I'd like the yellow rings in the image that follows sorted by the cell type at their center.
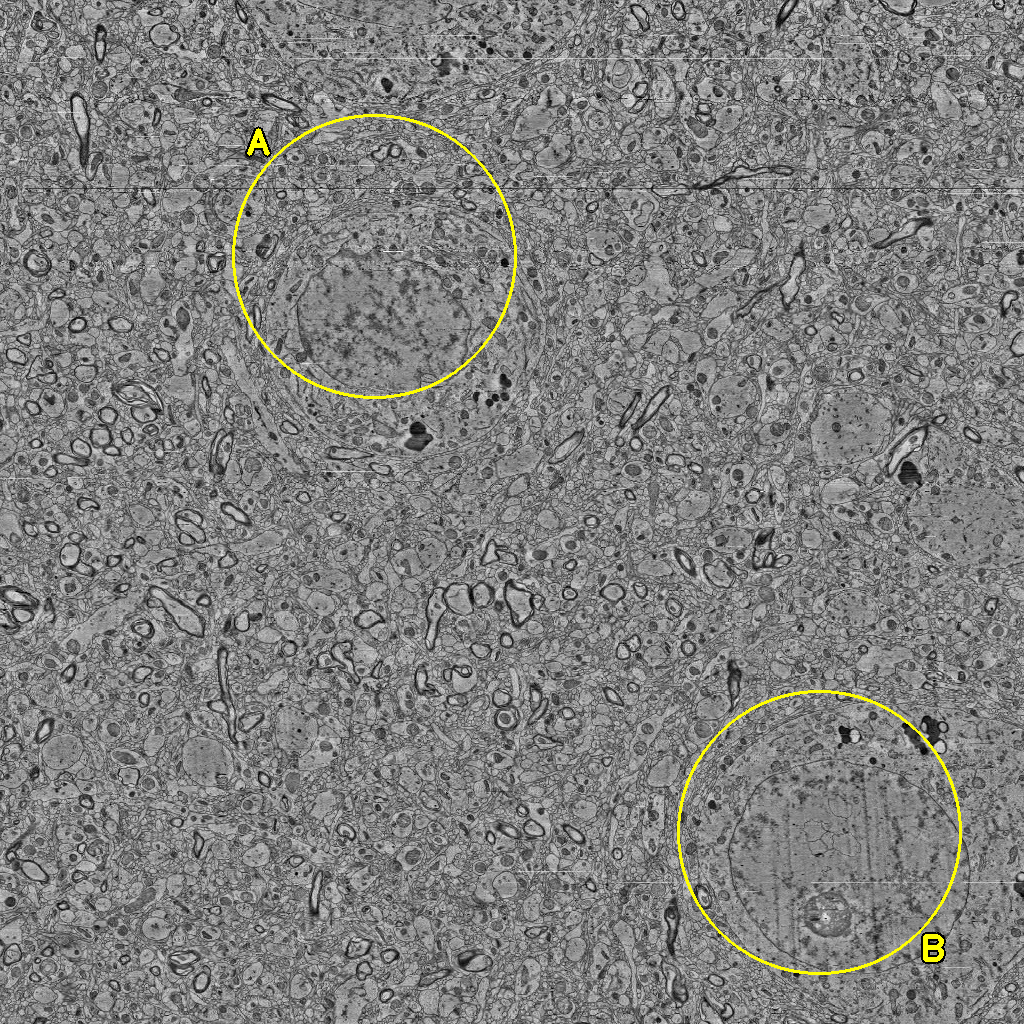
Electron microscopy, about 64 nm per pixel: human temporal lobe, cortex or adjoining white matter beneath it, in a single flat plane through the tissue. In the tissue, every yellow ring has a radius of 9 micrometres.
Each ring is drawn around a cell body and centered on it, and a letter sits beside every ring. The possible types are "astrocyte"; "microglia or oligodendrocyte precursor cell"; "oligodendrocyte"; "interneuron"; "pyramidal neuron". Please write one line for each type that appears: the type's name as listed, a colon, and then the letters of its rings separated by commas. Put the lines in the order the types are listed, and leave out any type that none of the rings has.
interneuron: A
pyramidal neuron: B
